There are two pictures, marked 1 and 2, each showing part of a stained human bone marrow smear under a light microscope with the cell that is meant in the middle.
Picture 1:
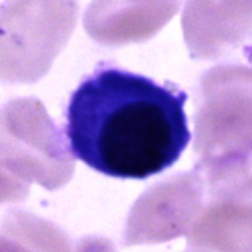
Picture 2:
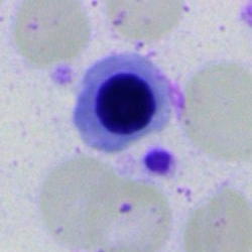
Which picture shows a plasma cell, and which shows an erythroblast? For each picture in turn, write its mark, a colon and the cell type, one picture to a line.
1: plasma cell
2: erythroblast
